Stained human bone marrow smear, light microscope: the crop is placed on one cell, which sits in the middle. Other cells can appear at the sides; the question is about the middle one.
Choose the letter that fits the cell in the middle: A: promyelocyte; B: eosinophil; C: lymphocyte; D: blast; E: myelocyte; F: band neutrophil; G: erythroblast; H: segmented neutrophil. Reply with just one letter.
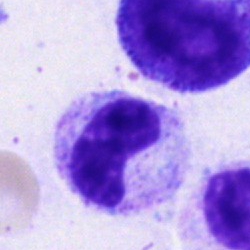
F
